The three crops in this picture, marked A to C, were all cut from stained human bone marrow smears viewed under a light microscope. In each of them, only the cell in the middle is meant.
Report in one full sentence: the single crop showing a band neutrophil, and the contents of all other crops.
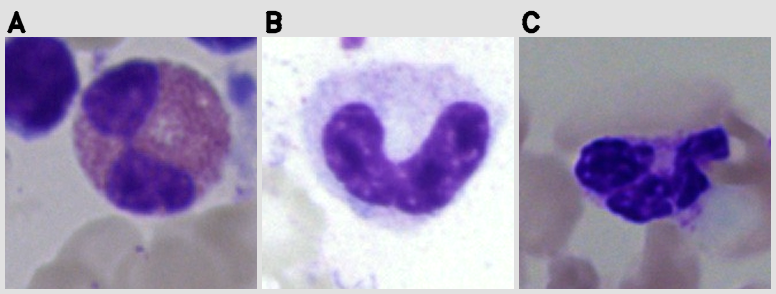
Crop B is identified as a band neutrophil, whereas crop A is an eosinophil and crop C is a segmented neutrophil.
